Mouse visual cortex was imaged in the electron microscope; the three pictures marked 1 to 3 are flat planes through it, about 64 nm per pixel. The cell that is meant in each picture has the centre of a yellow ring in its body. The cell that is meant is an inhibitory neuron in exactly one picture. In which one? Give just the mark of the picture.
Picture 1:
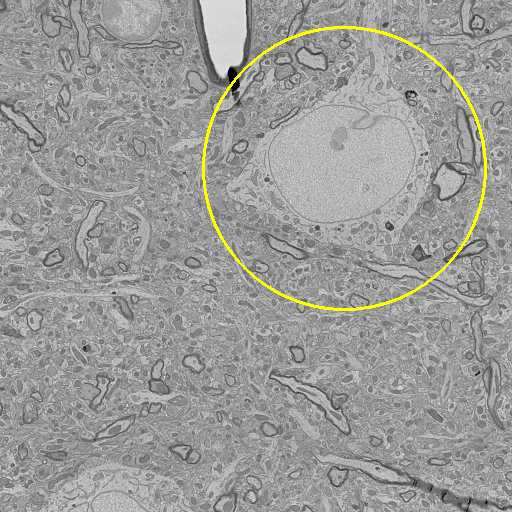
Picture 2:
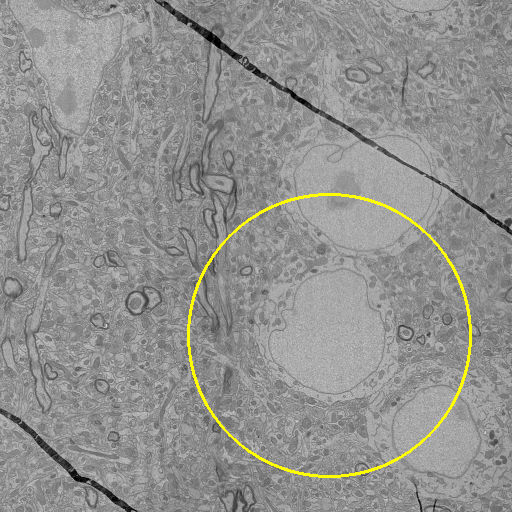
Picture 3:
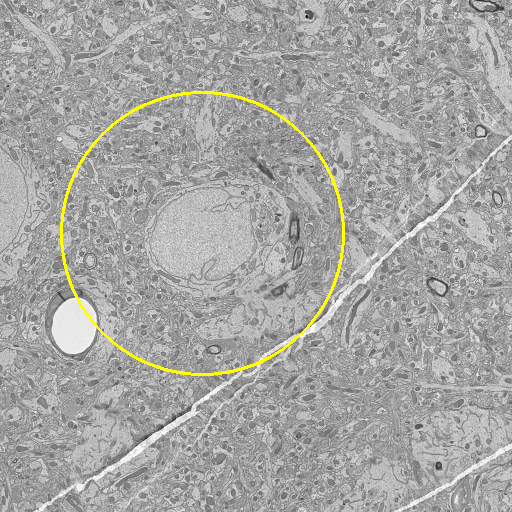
3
